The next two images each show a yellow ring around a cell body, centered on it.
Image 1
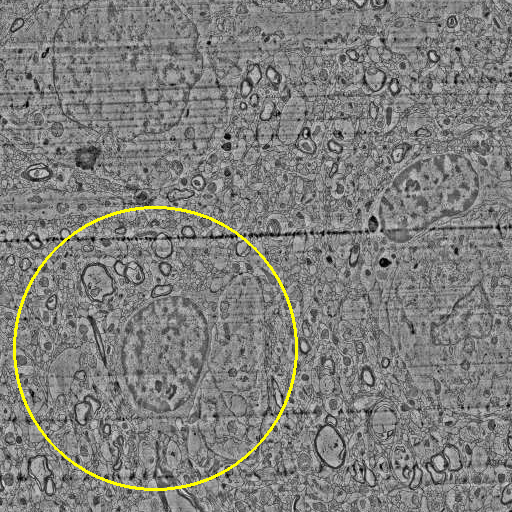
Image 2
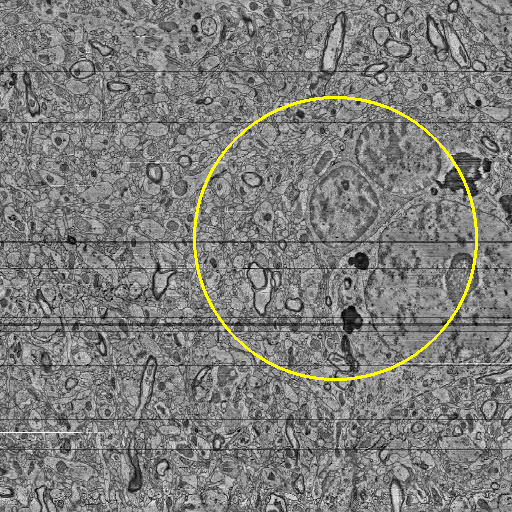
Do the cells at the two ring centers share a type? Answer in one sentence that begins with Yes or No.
Yes, across the two images the cells at the ring centers share one type.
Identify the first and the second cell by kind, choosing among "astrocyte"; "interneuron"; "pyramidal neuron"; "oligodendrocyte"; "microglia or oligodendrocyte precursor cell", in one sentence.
Both rings mark an oligodendrocyte, one in each picture.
